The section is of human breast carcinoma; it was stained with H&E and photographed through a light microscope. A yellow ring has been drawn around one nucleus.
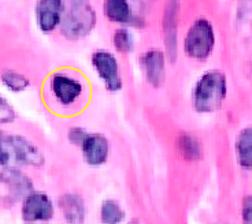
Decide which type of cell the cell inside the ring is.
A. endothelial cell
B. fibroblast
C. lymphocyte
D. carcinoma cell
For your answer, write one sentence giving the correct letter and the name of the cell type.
Option C wins here: the cell inside the ring is a lymphocyte.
